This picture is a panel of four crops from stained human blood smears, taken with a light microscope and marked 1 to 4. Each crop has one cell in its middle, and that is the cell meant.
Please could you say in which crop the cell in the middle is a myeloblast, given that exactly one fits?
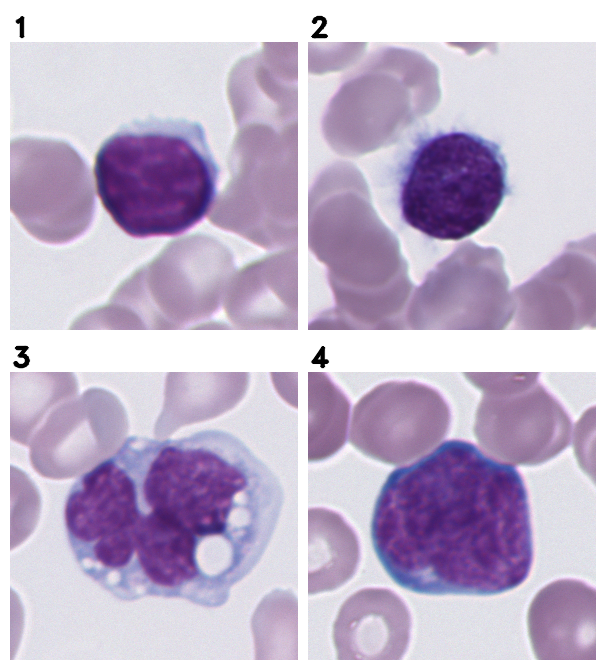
4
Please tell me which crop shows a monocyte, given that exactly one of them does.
3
